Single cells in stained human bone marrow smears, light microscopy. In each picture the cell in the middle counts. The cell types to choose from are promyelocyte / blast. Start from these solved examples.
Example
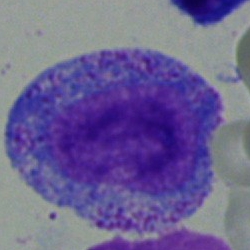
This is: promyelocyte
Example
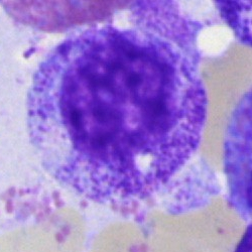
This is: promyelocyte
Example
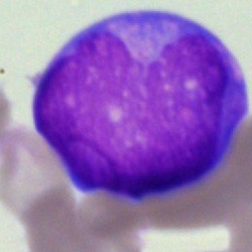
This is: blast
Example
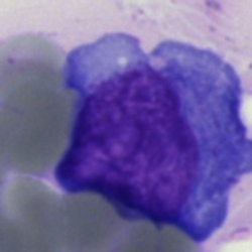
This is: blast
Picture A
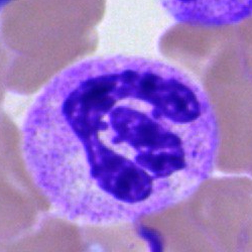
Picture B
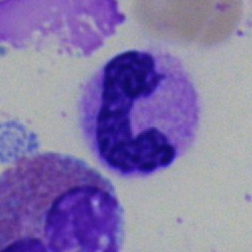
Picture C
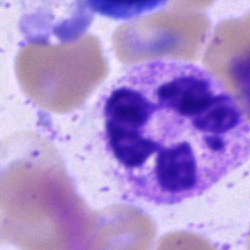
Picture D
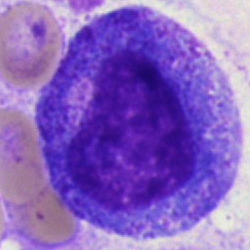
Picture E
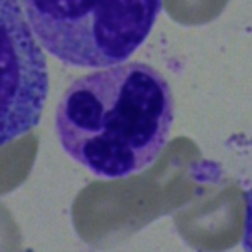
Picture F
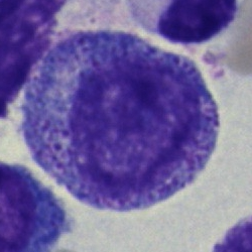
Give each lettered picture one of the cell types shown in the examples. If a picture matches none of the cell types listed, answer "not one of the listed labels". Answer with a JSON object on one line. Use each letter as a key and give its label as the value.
{"A": "not one of the listed labels", "B": "not one of the listed labels", "C": "not one of the listed labels", "D": "promyelocyte", "E": "not one of the listed labels", "F": "promyelocyte"}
